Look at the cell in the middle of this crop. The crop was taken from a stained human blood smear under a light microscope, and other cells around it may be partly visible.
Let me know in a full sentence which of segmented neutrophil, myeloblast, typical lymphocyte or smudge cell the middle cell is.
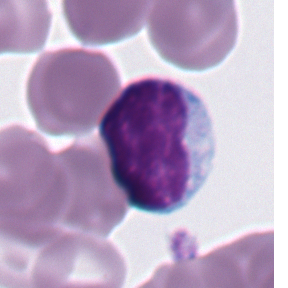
The cell at the middle of the crop is recognized as a typical lymphocyte.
